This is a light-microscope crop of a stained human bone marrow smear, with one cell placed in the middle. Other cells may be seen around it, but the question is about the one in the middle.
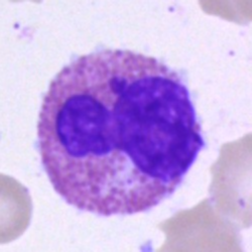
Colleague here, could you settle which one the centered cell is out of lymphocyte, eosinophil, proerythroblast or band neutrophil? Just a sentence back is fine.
At the center of the crop sits an eosinophil.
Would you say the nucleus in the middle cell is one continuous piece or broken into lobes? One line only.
Multiple nuclear lobes, two or more, can be counted in this cell.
